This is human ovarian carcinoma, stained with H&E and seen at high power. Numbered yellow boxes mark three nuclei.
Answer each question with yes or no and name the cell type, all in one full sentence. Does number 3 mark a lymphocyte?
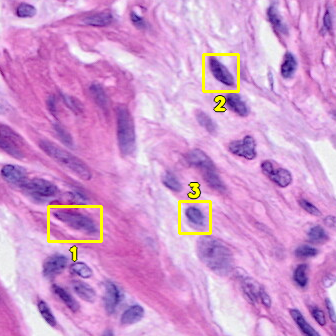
Yes, in this section the cell numbered 3 is a lymphocyte.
